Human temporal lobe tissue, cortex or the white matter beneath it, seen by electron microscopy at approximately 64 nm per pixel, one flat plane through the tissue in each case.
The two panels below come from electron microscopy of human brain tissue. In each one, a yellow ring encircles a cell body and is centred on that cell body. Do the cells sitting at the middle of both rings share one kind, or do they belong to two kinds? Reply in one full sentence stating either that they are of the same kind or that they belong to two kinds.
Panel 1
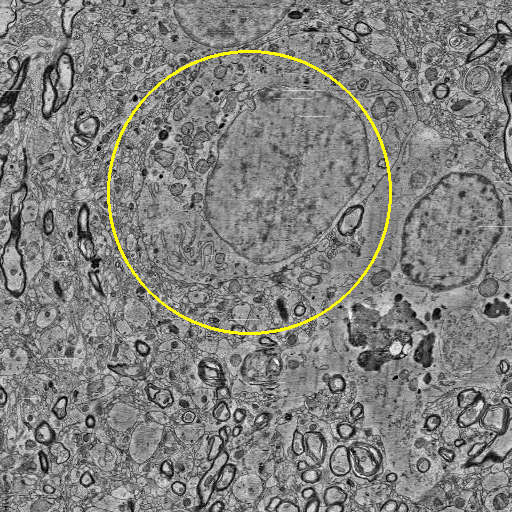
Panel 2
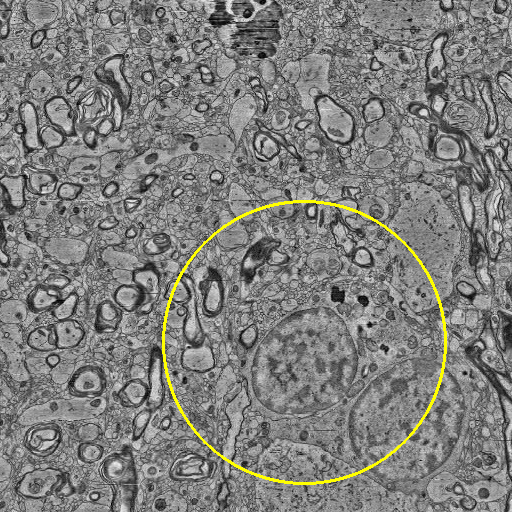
The cells at the centres of the two rings belong to two kinds.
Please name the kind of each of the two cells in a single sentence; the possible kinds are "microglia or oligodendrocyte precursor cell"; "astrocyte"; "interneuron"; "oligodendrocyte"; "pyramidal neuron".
In the first picture the ring is centred on an interneuron, and in the second on an oligodendrocyte.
